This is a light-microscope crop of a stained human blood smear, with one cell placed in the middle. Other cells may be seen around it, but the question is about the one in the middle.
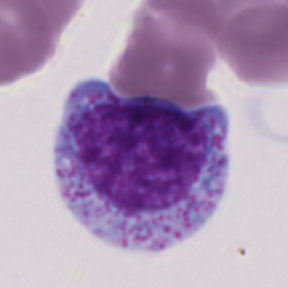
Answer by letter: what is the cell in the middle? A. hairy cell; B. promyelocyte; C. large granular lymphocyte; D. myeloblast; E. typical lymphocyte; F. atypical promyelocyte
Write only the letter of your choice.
B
